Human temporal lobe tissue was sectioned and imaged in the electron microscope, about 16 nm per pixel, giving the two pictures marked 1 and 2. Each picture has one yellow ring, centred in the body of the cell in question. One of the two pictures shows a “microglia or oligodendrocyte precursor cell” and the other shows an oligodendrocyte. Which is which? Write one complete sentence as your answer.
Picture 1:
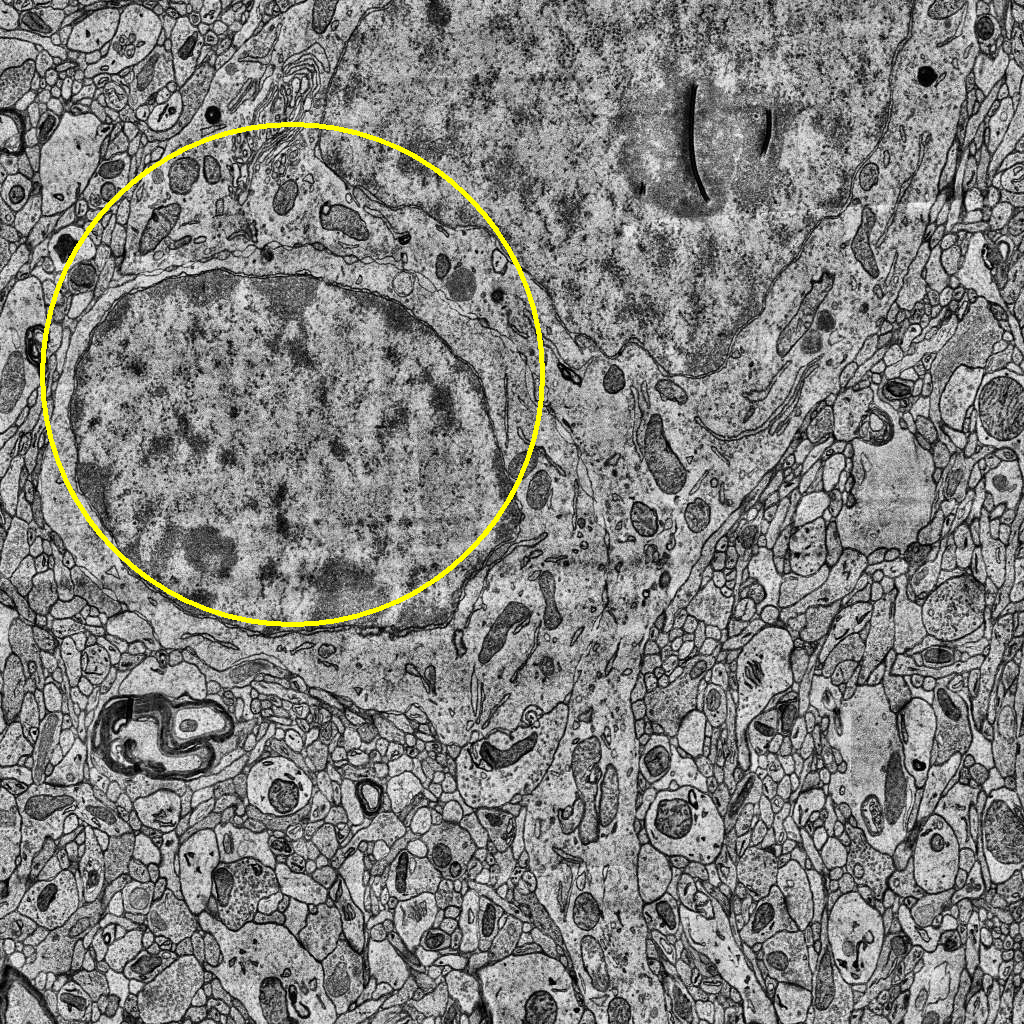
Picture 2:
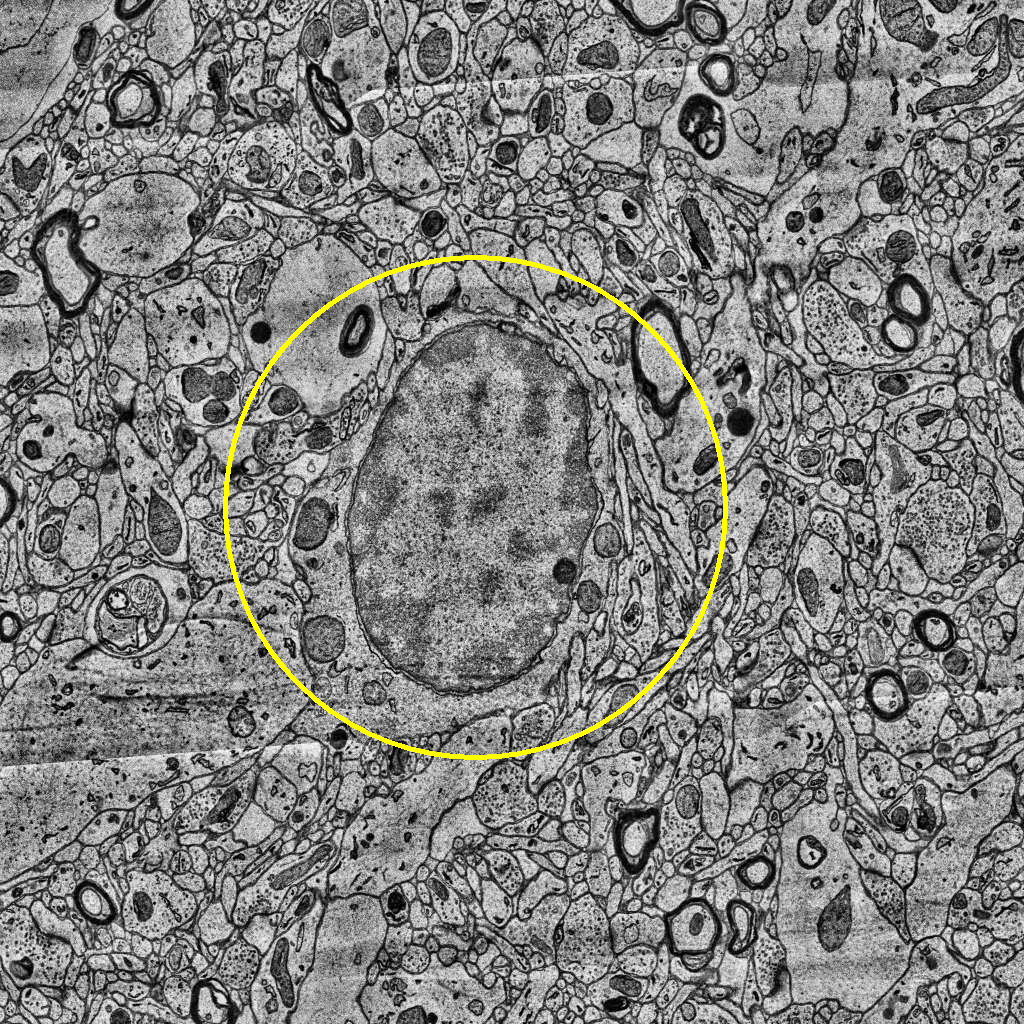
The cell in picture 1 is a “microglia or oligodendrocyte precursor cell”, and the one in picture 2 is an oligodendrocyte.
